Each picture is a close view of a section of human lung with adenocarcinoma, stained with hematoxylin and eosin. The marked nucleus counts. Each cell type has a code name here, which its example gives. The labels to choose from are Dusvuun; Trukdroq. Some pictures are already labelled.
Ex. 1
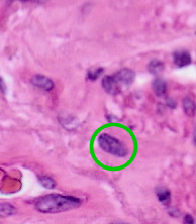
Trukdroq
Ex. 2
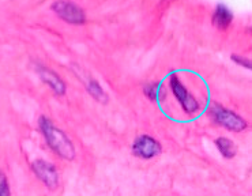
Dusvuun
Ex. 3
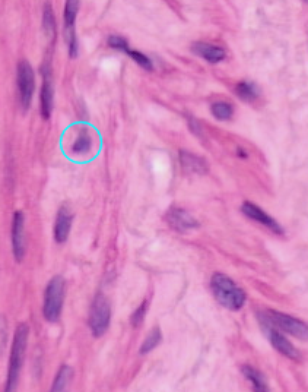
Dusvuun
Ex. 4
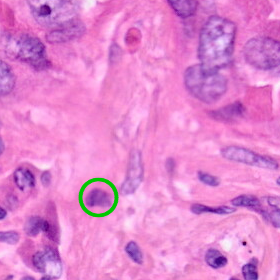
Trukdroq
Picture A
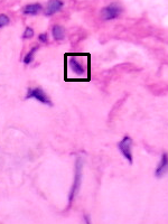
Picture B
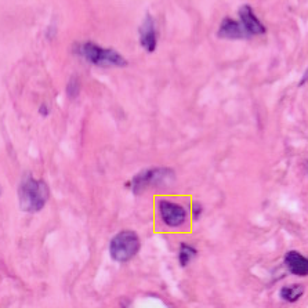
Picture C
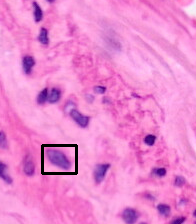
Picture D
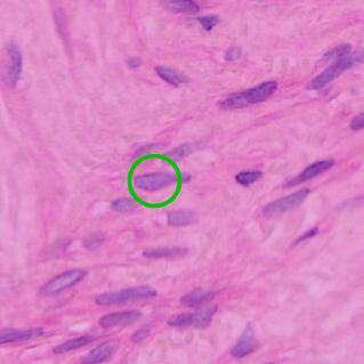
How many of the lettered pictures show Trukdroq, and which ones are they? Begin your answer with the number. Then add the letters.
Count: 1 (B)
